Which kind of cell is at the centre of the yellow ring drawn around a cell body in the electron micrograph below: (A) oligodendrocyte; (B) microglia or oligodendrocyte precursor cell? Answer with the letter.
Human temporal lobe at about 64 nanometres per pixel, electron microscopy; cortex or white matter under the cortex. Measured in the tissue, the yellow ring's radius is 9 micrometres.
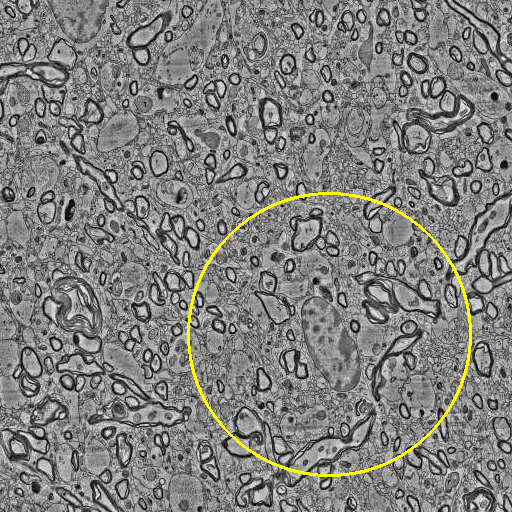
B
